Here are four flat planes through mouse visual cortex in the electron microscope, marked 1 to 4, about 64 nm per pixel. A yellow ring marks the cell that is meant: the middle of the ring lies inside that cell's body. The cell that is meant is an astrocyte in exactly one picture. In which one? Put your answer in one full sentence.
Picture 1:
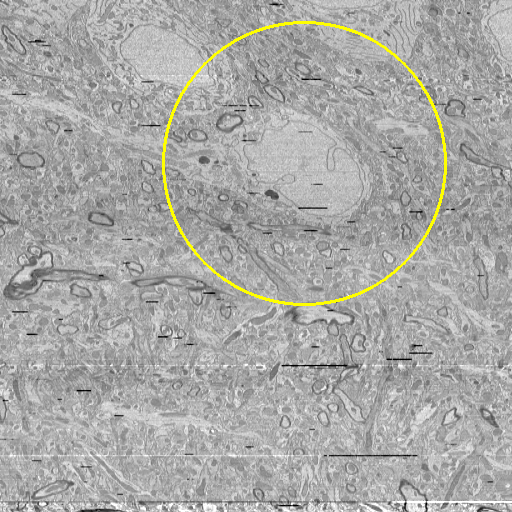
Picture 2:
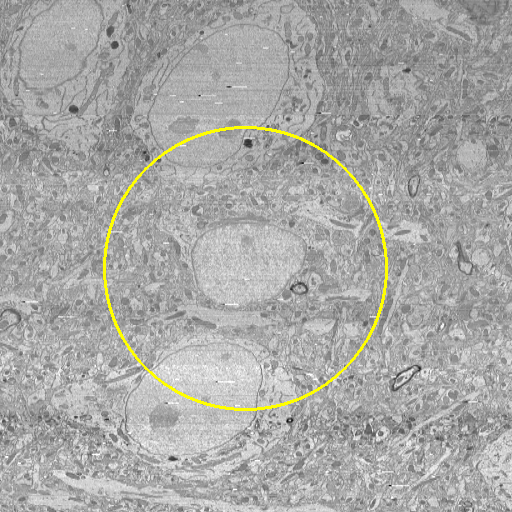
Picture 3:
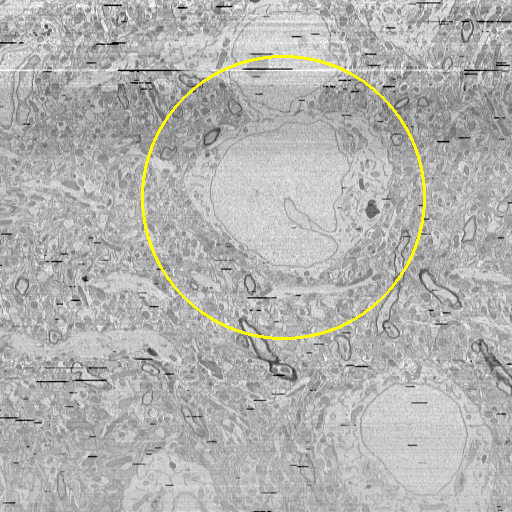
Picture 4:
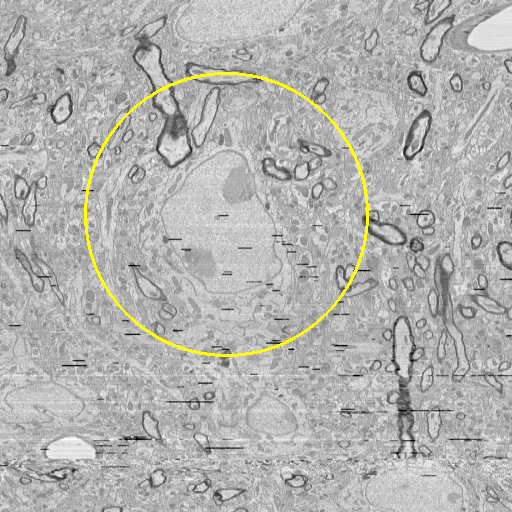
Picture 2 is the one that shows the astrocyte.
